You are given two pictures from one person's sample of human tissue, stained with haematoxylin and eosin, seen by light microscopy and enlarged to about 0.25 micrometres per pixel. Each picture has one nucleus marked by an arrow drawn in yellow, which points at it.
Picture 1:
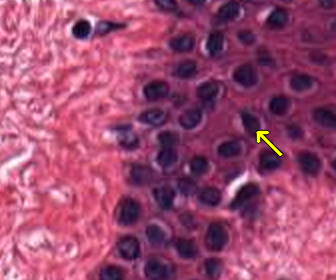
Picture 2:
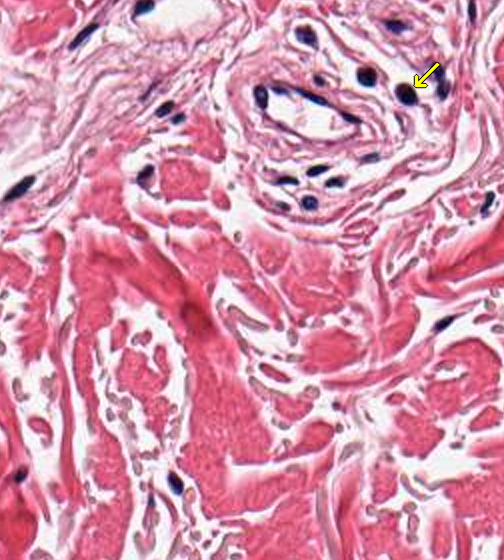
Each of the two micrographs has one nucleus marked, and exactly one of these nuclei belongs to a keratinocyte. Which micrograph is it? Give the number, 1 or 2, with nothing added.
1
